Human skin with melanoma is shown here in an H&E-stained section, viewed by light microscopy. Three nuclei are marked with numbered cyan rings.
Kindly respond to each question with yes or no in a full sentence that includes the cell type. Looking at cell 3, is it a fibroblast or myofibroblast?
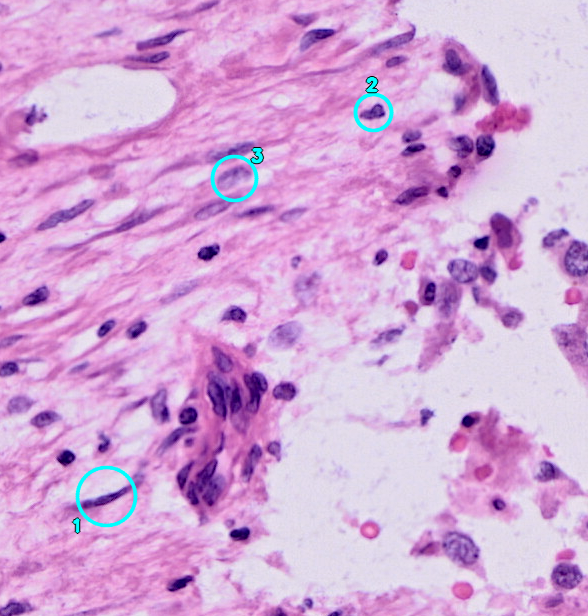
Yes, a fibroblast or myofibroblast is what the cell numbered 3 is.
